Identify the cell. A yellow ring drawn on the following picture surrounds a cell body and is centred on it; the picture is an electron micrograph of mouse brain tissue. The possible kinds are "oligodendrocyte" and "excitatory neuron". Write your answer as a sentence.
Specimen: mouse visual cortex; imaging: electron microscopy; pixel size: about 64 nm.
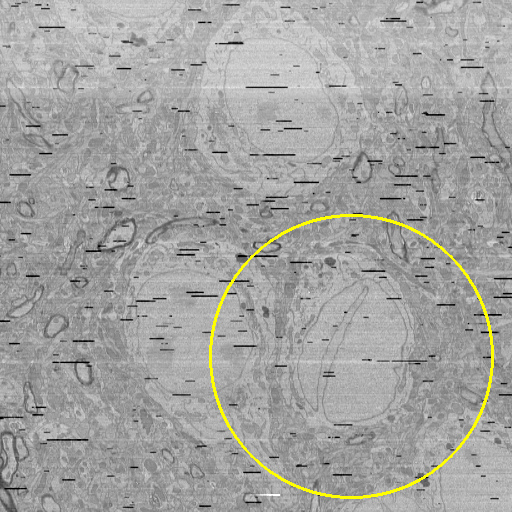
The cell identified by the ring is an excitatory neuron.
